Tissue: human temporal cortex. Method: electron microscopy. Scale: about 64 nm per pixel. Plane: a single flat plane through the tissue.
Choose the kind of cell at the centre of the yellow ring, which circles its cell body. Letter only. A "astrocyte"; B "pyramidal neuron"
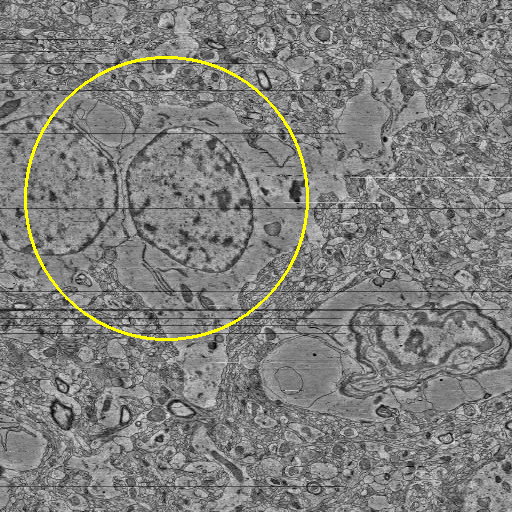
A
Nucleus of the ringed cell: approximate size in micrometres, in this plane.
In this plane the nucleus measures roughly 10 by 8 micrometers.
